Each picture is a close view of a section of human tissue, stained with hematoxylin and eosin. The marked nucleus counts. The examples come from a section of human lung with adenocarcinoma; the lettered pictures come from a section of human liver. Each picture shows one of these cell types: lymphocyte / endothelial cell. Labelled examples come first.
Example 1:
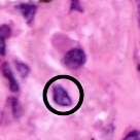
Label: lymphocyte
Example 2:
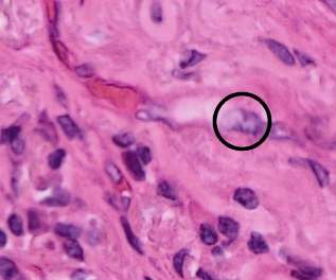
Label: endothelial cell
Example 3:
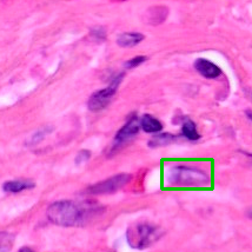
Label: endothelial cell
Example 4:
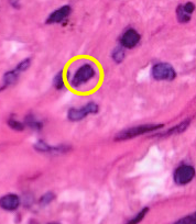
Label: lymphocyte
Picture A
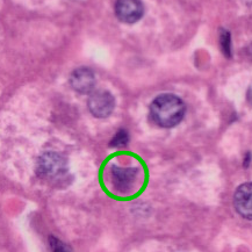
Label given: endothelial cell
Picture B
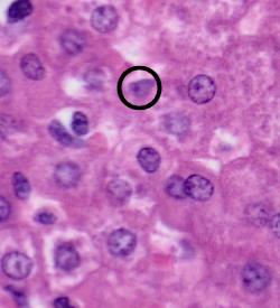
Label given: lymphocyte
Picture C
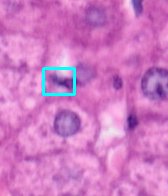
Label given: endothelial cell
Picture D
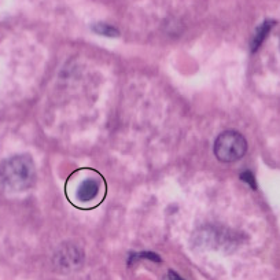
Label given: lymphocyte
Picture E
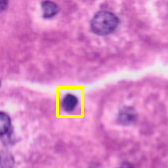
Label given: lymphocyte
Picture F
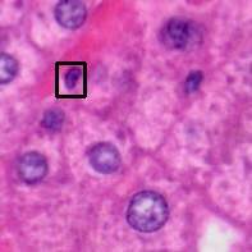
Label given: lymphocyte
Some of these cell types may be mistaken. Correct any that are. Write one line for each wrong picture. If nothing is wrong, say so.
B: change lymphocyte to endothelial cell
